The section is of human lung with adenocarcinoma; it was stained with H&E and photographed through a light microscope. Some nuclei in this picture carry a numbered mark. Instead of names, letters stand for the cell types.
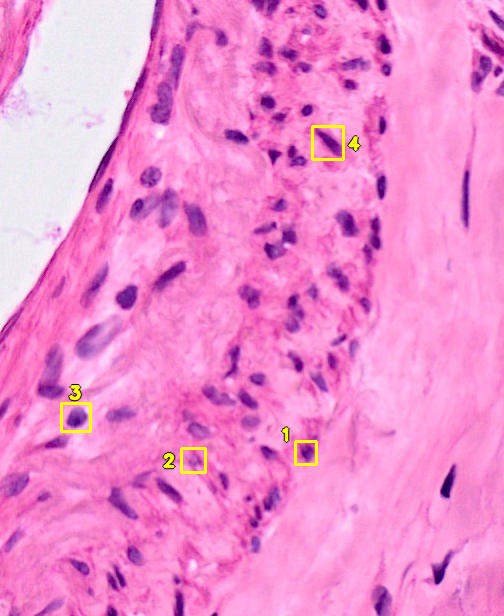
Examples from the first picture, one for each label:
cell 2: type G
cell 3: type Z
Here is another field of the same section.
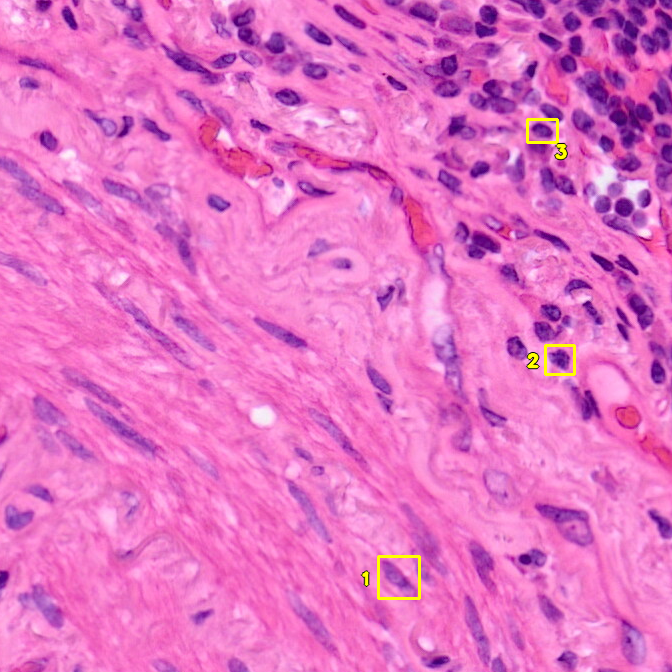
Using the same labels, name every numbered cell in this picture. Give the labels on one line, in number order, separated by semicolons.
type G; type Z; type Z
